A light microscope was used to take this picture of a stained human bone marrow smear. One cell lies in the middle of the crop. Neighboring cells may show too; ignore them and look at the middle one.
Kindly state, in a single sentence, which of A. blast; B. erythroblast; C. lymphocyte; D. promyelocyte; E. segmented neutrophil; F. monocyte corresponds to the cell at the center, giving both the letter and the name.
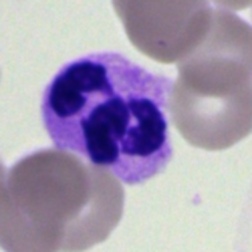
Option E is the correct selection, for the cell at the centre is a segmented neutrophil.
